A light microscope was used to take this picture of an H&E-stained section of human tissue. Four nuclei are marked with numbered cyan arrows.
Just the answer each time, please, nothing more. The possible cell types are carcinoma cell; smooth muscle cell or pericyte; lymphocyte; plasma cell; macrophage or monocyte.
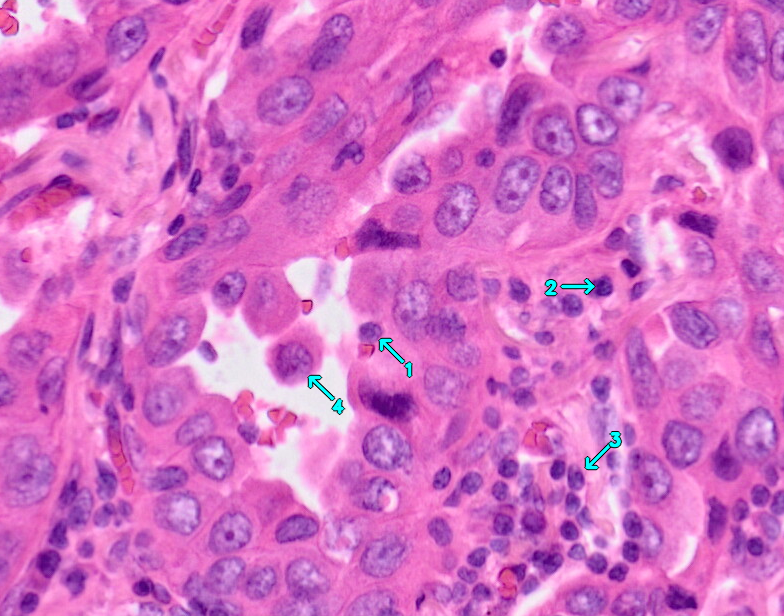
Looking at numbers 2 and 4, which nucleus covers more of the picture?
4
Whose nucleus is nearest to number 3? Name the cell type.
lymphocyte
